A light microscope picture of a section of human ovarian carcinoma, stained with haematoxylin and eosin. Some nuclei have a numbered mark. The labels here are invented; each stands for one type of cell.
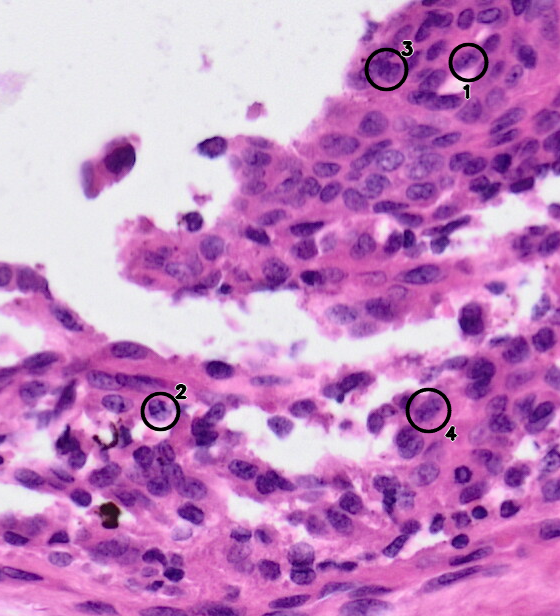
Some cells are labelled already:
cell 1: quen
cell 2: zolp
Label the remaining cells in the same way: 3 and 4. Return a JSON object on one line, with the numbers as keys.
{"3": "quen", "4": "quen"}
